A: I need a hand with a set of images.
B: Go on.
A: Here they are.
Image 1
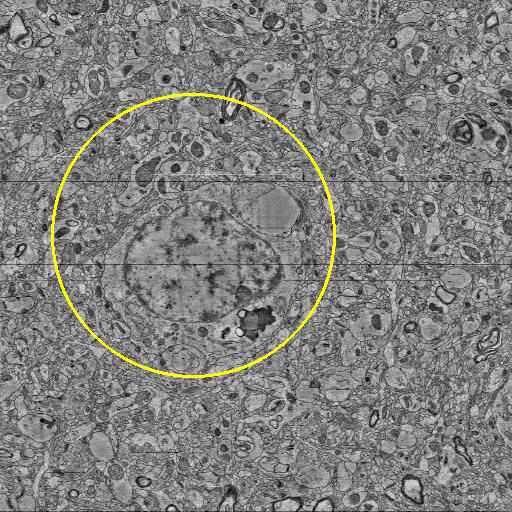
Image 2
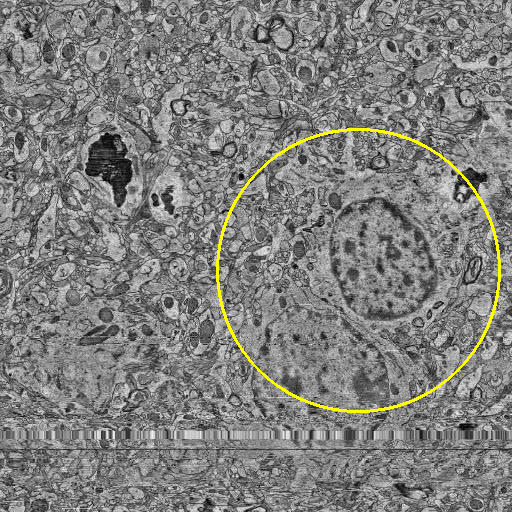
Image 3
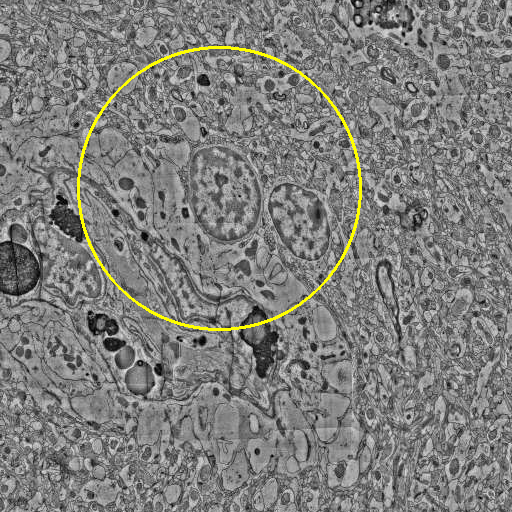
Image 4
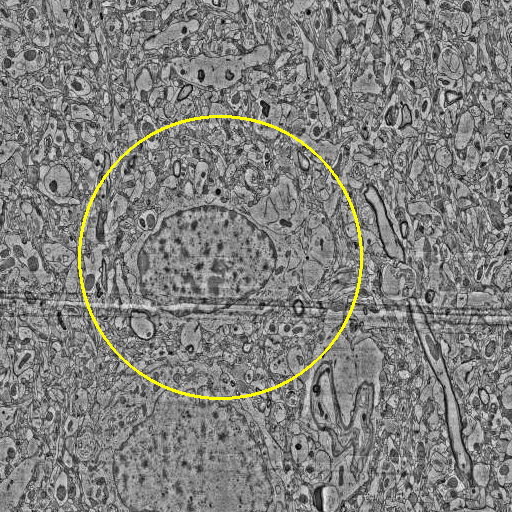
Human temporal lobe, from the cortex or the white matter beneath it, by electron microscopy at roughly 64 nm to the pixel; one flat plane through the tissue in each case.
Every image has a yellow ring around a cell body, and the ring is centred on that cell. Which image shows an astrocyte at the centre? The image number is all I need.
2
